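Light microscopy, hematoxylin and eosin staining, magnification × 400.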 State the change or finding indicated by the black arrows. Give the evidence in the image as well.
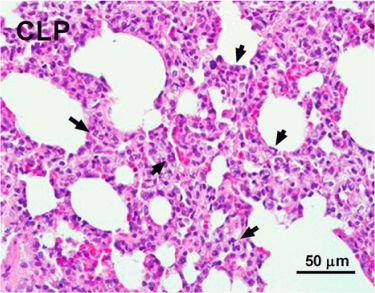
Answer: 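Alveolar walls are thickened and crowded with purple nuclei. The arrows point at small densely stained cells within the septa.
Answer: infiltration of neutrophils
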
